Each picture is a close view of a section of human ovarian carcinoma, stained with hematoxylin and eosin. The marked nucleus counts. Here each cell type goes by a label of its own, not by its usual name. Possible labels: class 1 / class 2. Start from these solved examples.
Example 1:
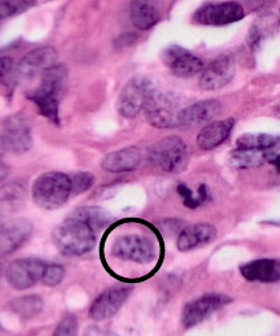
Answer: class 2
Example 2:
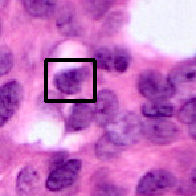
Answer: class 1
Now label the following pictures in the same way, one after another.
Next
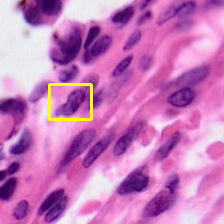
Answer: class 2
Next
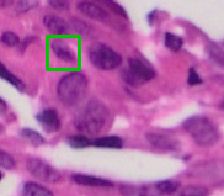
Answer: class 2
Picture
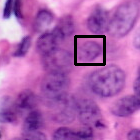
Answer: class 1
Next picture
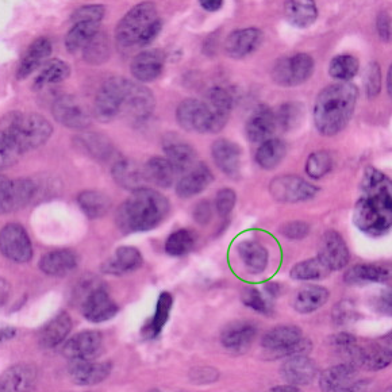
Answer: class 2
